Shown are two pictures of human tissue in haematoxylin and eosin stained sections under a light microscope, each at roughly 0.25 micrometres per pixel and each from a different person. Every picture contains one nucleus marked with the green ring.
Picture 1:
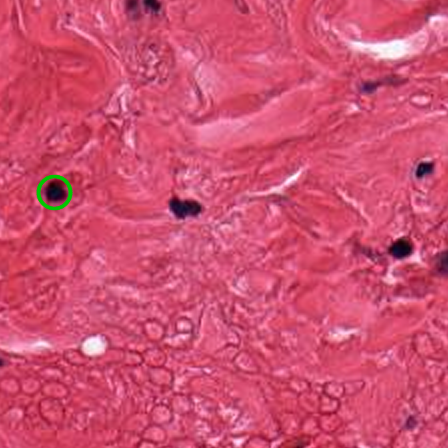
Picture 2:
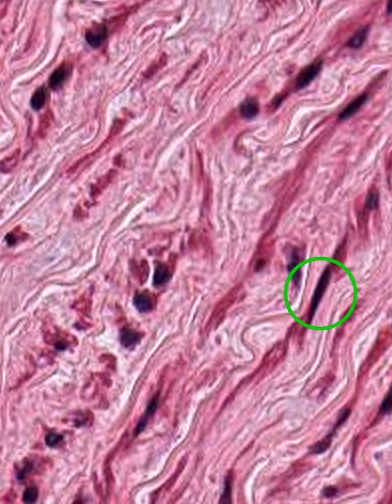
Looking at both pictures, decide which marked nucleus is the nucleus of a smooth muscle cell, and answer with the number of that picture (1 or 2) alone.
2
